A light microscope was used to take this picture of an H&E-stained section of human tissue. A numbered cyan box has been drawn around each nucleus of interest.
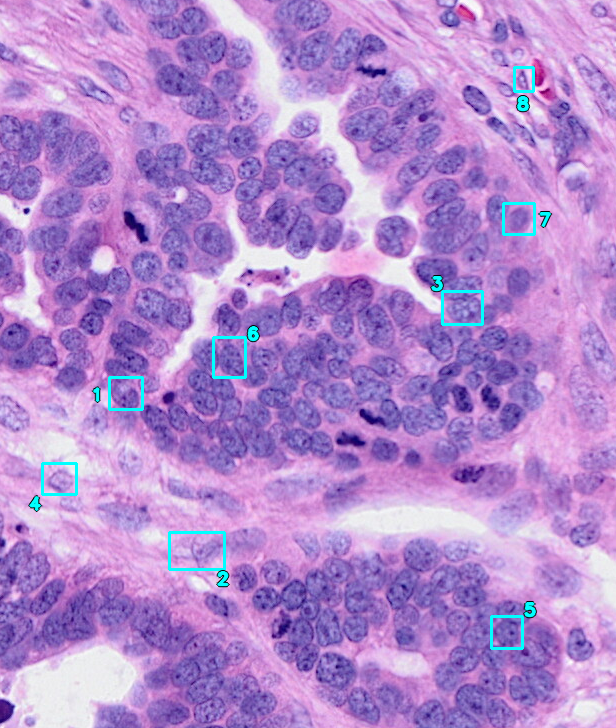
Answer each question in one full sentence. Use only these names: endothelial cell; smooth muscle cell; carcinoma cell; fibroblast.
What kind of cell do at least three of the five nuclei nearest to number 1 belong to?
The majority of the five nuclei closest to number 1 belong to carcinoma cells.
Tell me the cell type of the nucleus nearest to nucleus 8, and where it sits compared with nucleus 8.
A fibroblast lies closest, below and to the left of nucleus 8.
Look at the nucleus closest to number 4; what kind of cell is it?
The nearest nucleus to number 4 belongs to a fibroblast.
